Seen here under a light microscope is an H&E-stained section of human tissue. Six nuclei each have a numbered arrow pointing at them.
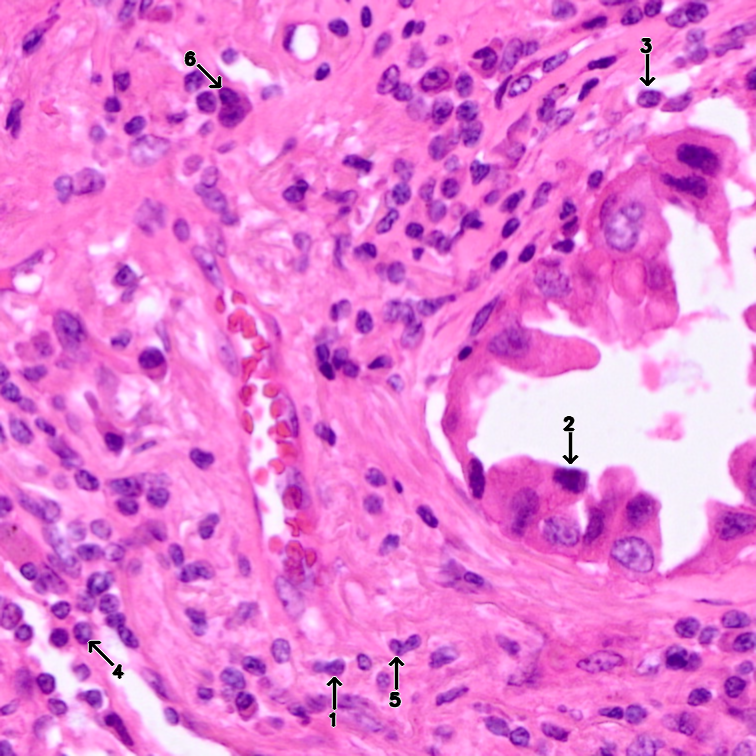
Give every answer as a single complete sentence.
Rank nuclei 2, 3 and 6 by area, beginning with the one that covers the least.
By area, going up from the smallest, they rank 6, 3, 2.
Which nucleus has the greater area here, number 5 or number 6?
The larger nucleus is 6, at roughly 1.5 times the area of 5.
